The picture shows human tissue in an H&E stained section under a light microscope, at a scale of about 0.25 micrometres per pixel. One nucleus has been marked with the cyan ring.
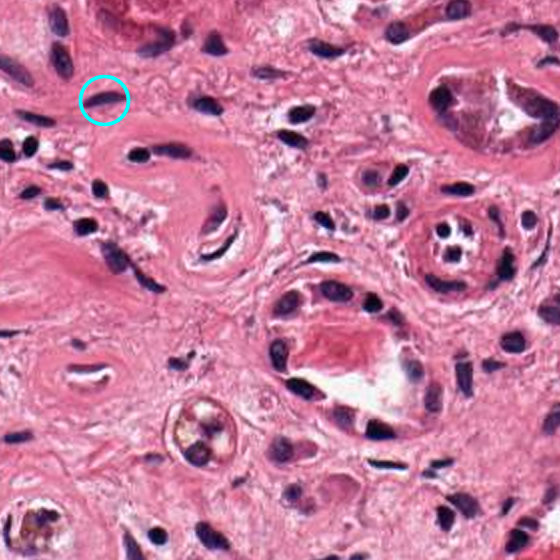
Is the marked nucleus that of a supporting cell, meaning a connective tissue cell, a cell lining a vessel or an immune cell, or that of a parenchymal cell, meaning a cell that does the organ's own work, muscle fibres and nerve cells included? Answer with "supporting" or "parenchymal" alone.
supporting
